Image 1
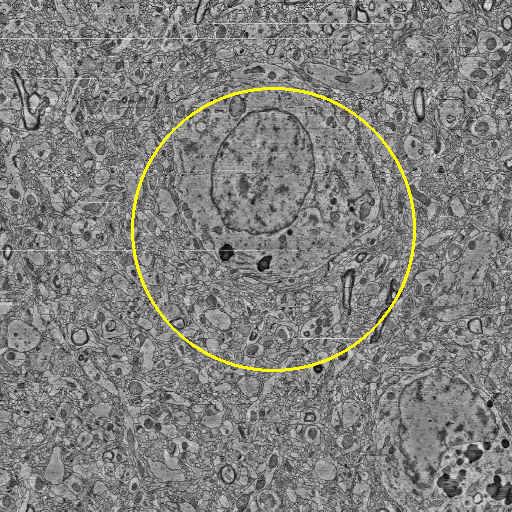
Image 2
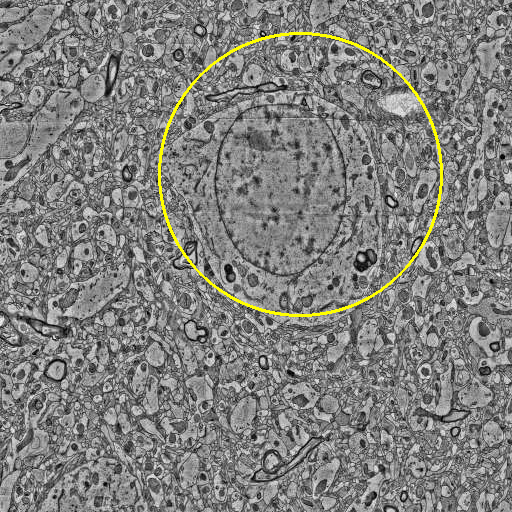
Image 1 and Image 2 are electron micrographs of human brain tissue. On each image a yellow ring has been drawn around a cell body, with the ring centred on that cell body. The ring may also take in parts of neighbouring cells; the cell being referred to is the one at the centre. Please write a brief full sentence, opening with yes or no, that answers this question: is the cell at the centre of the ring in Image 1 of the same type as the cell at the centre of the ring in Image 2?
Yes, both cells are of the same type.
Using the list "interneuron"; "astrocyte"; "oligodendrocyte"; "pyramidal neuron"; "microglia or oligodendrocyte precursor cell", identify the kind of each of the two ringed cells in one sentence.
Each of the two rings surrounds a pyramidal neuron.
